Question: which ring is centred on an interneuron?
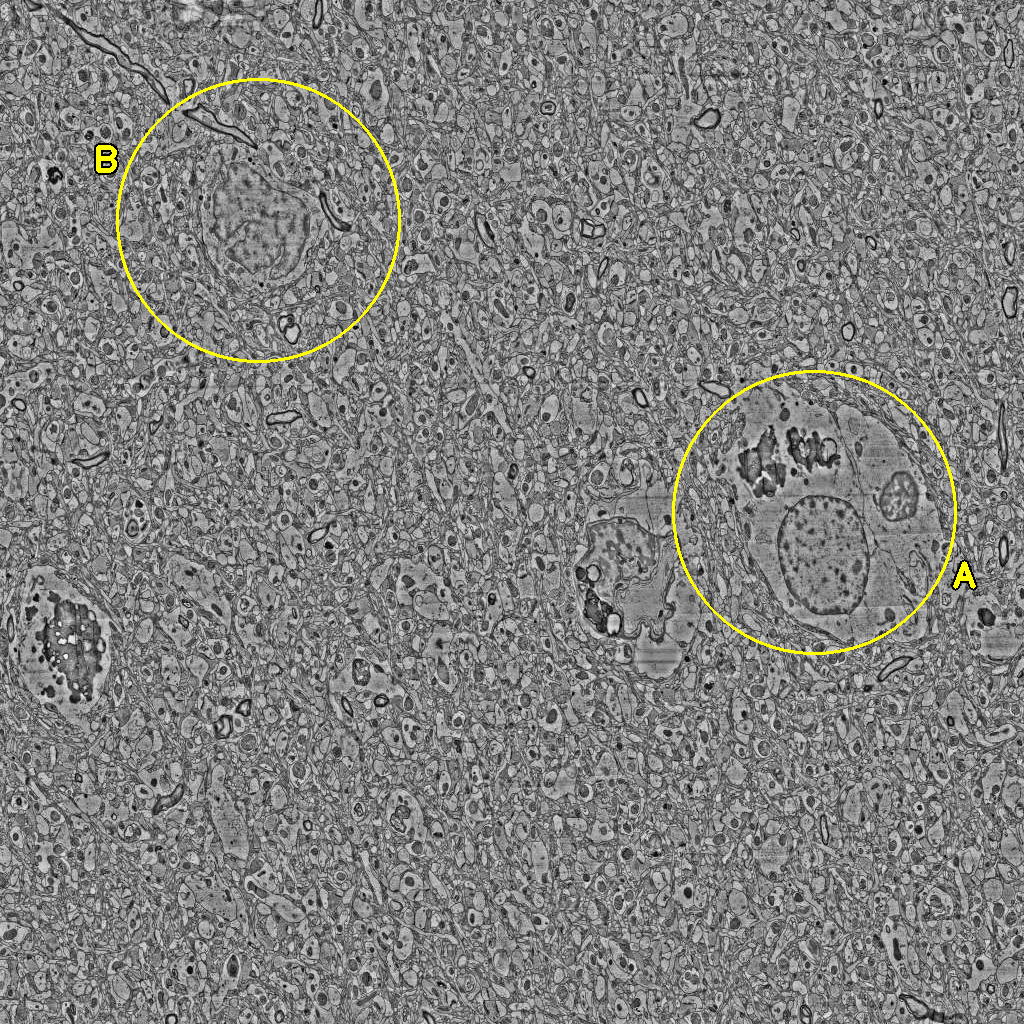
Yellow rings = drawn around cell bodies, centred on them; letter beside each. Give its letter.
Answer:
B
